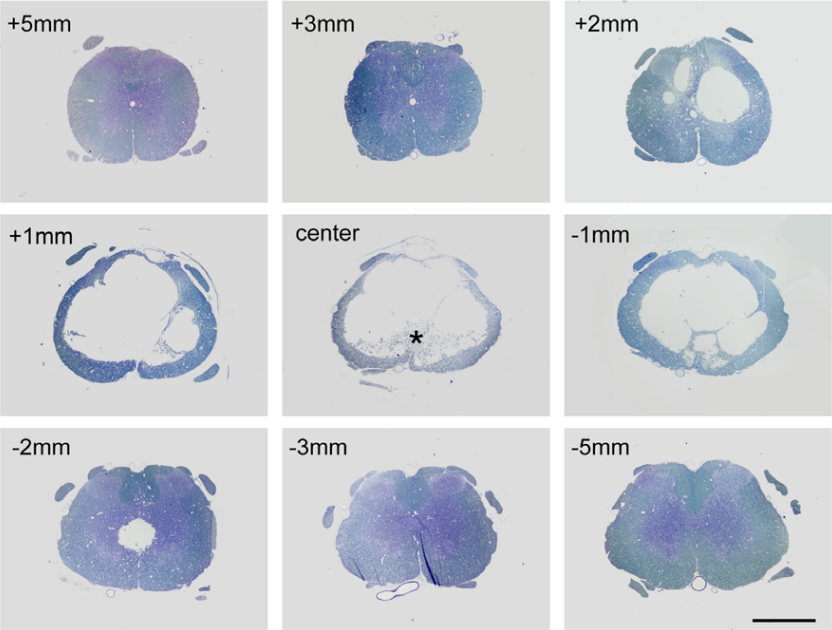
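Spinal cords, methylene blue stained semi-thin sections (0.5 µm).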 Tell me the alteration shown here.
A large cystic cavity.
